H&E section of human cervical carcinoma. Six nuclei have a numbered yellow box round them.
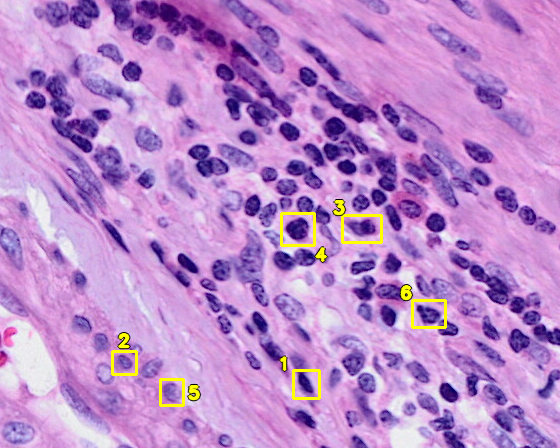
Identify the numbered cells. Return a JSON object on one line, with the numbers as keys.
{"1": "lymphocyte", "2": "smooth muscle cell", "3": "lymphocyte", "4": "lymphocyte", "5": "smooth muscle cell", "6": "lymphocyte"}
